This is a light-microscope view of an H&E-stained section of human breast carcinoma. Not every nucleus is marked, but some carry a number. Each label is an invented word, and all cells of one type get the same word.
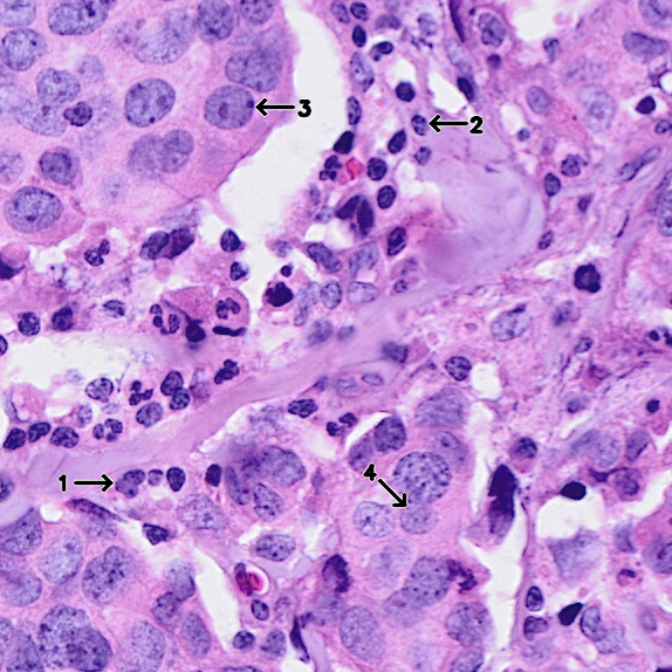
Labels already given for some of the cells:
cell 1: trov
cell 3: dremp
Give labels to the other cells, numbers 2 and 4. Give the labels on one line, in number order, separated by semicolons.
trov; dremp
